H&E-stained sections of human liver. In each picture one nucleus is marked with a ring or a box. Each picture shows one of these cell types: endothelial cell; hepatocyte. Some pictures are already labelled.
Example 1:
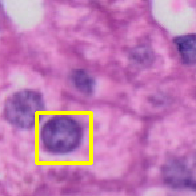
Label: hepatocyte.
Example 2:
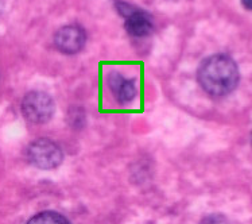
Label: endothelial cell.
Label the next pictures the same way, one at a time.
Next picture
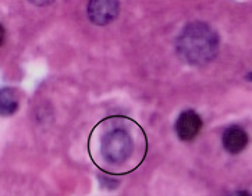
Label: hepatocyte.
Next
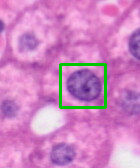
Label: hepatocyte.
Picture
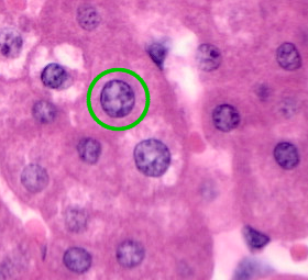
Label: hepatocyte.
